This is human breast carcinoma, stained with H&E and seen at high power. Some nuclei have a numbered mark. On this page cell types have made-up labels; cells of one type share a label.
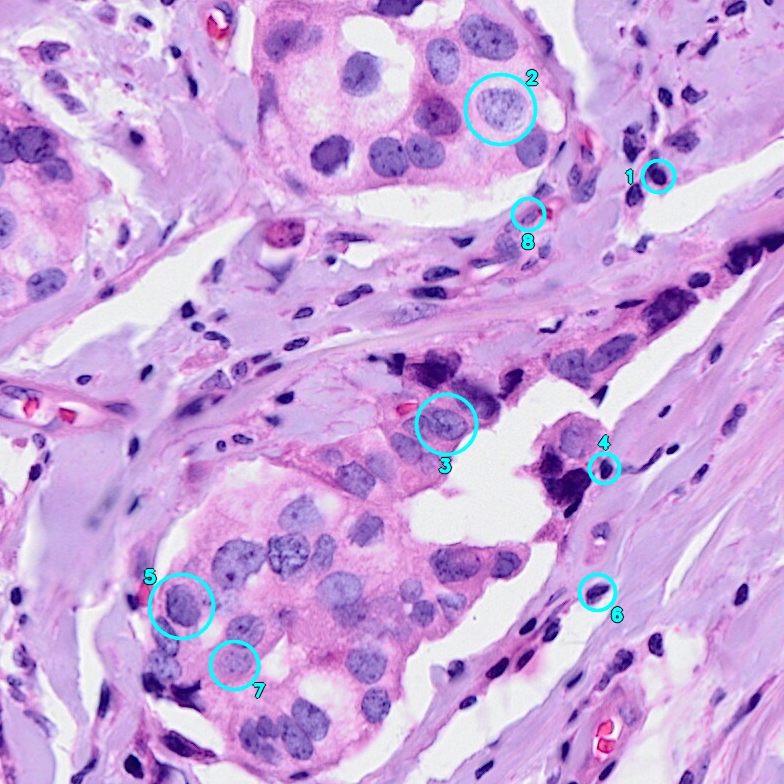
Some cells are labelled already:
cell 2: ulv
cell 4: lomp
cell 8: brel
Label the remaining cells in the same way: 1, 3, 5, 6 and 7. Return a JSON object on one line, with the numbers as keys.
{"1": "lomp", "3": "ulv", "5": "ulv", "6": "lomp", "7": "ulv"}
